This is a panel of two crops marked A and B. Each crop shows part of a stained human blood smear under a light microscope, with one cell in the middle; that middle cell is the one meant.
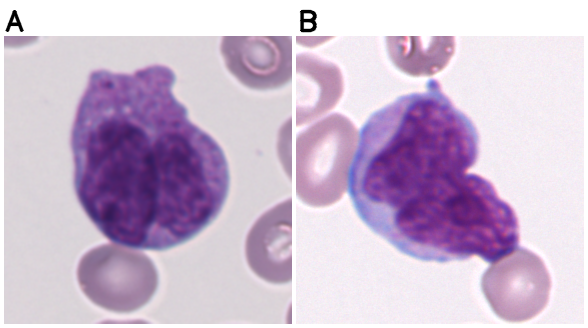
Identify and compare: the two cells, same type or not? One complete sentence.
Yes, the cells centred in the two crops are both atypical promyelocytes.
